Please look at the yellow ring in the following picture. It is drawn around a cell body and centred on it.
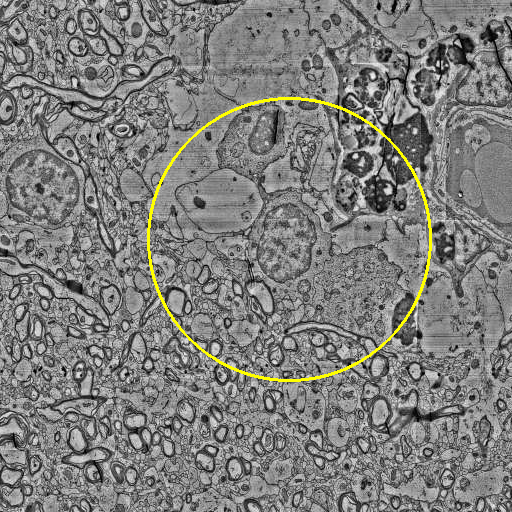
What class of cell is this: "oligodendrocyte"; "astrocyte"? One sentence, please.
The ring surrounds the cell body of an oligodendrocyte.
